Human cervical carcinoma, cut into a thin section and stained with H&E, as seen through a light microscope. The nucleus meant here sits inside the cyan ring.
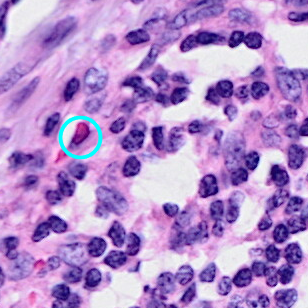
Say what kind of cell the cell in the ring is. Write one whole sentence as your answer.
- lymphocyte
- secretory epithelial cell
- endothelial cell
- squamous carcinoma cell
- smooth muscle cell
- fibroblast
Typologically, the cell in the ring is an endothelial cell in this section.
